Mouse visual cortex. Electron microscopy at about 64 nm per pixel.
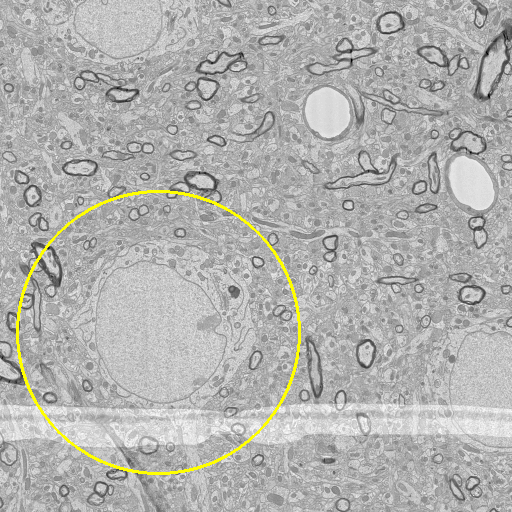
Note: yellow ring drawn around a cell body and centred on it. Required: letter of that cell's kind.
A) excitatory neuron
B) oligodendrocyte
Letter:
A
